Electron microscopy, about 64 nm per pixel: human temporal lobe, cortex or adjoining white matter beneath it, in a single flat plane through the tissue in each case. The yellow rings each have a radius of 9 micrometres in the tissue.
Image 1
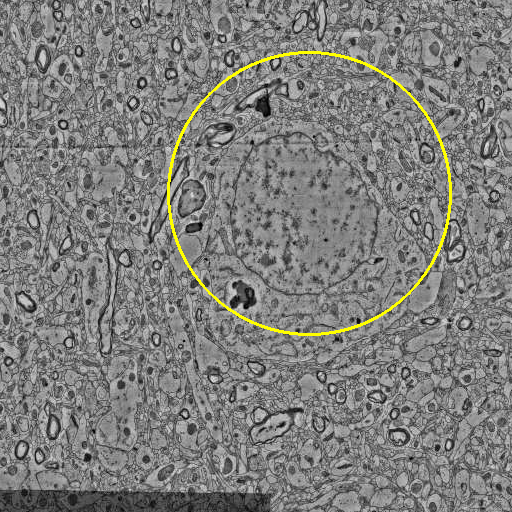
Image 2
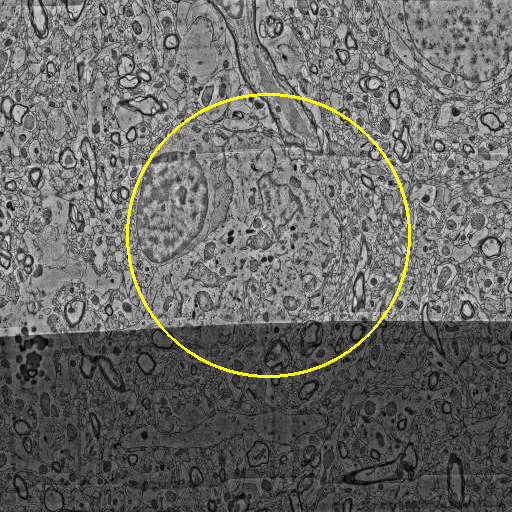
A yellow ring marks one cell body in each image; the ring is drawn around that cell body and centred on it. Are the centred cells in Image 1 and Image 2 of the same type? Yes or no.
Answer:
yes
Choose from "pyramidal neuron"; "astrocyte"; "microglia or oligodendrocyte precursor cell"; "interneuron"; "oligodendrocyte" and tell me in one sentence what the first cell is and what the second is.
Each of the ringed cells, first and second, is a pyramidal neuron.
